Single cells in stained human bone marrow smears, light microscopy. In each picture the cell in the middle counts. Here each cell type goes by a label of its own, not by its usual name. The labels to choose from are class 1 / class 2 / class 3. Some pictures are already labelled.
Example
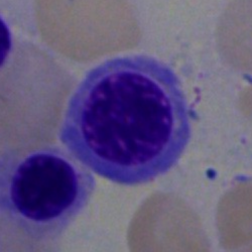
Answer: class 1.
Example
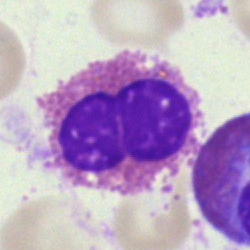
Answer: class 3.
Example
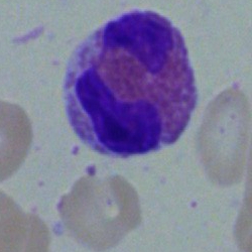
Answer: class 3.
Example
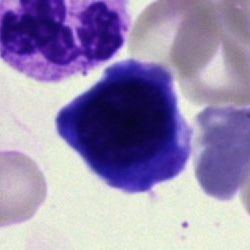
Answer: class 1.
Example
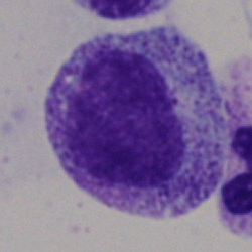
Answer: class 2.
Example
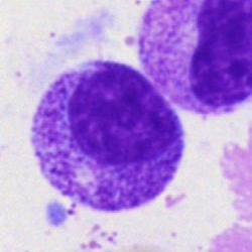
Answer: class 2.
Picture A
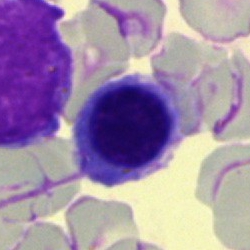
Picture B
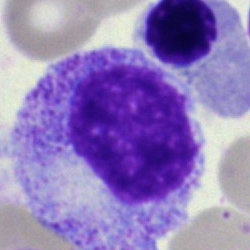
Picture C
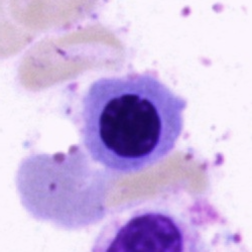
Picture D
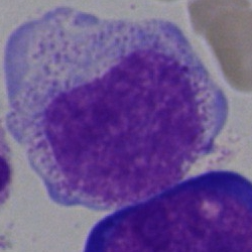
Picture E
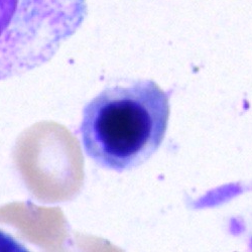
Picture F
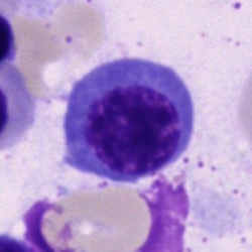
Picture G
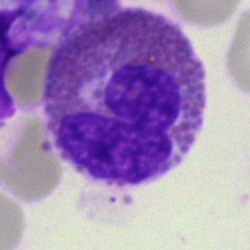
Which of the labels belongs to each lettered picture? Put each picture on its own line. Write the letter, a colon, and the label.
A: class 1.
B: class 2.
C: class 1.
D: class 2.
E: class 1.
F: class 1.
G: class 3.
